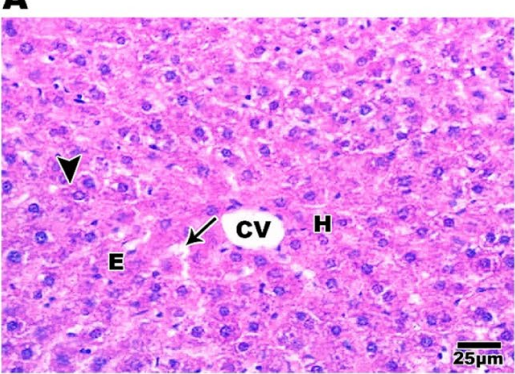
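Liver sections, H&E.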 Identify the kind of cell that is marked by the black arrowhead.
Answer: binuclear hepatocyte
